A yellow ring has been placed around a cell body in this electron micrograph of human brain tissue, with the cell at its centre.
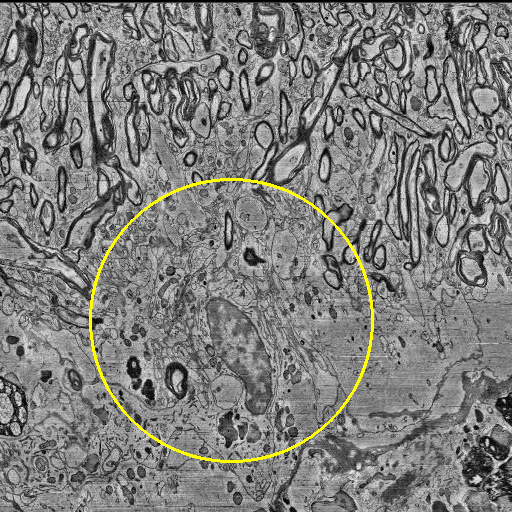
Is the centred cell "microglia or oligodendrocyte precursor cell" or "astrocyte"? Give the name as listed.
microglia or oligodendrocyte precursor cell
